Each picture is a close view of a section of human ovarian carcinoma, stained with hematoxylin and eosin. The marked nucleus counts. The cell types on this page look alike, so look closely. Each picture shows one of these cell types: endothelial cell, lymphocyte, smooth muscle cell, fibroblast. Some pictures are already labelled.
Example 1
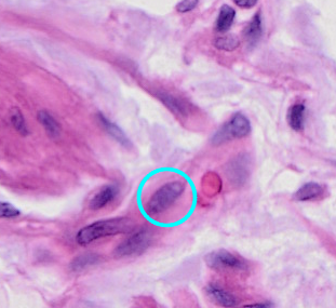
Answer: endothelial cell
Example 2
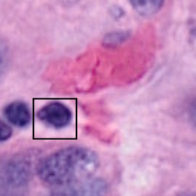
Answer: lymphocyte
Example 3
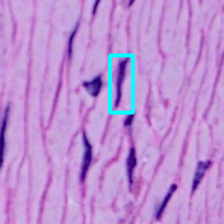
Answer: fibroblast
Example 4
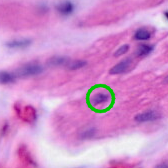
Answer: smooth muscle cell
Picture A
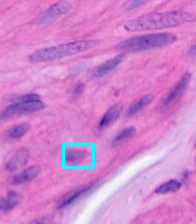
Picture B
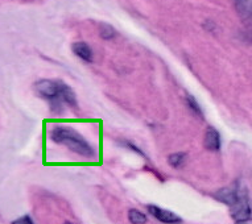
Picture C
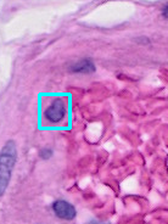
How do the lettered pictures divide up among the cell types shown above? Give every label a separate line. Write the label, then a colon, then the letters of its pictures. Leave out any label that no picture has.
endothelial cell: B, C
smooth muscle cell: A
